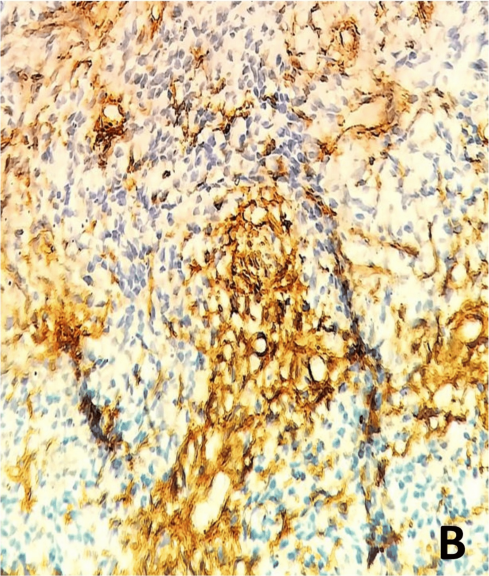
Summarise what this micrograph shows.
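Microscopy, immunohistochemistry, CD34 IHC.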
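Tumour cells with oval to spindle-shaped blue nuclei lie in sheets crossed by bands of brown staining. The brown stain forms a lacy network around the cells and around small round spaces, while the nuclei themselves stay blue.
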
